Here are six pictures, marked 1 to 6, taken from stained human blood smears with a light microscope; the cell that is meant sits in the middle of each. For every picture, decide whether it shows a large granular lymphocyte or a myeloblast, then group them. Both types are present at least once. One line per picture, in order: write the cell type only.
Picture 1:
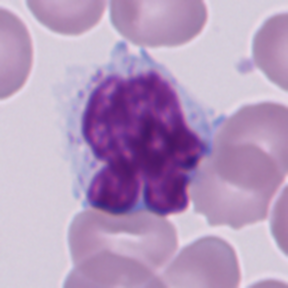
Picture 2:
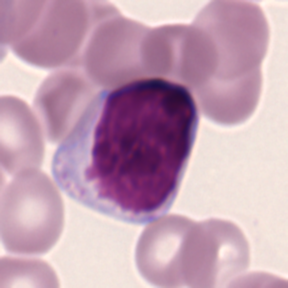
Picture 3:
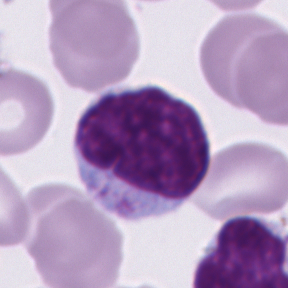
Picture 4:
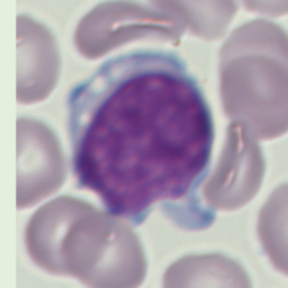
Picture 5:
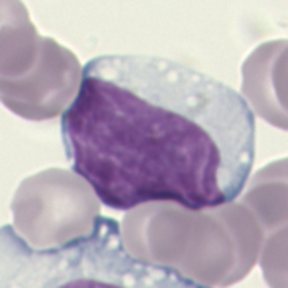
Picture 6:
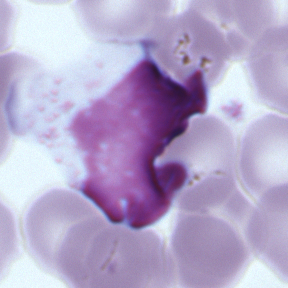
large granular lymphocyte
large granular lymphocyte
large granular lymphocyte
myeloblast
myeloblast
large granular lymphocyte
